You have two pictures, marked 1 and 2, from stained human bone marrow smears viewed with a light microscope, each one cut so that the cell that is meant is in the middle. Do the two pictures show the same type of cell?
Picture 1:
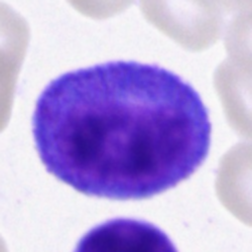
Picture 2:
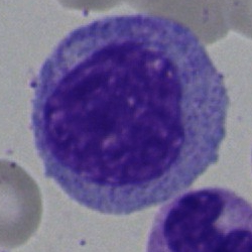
yes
